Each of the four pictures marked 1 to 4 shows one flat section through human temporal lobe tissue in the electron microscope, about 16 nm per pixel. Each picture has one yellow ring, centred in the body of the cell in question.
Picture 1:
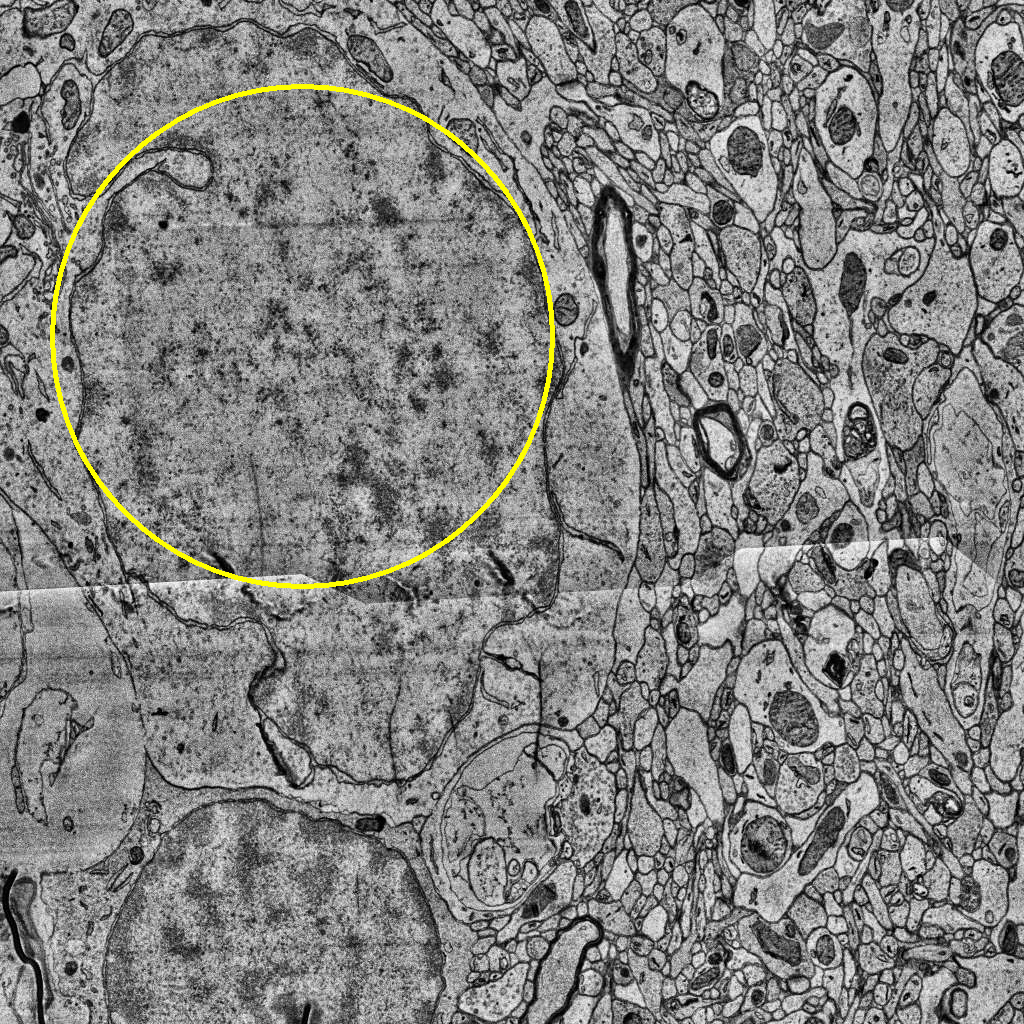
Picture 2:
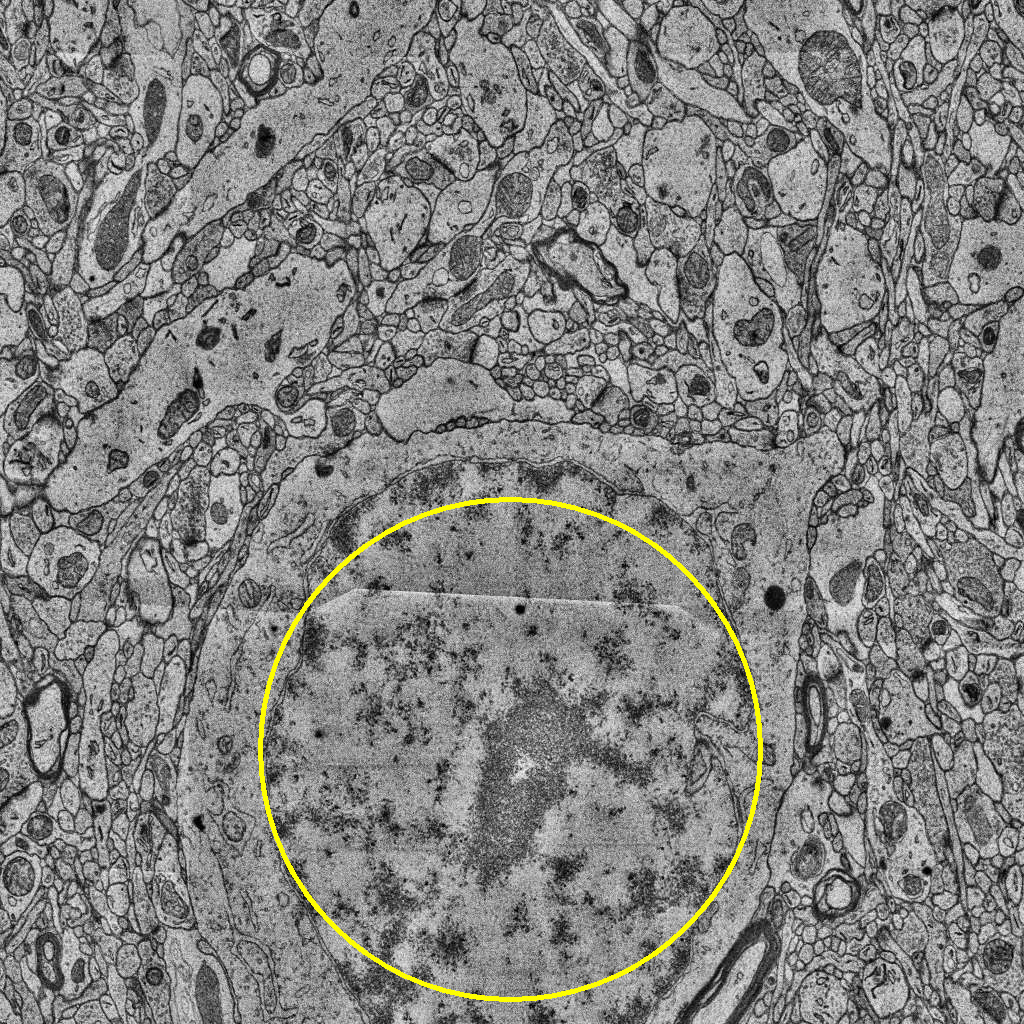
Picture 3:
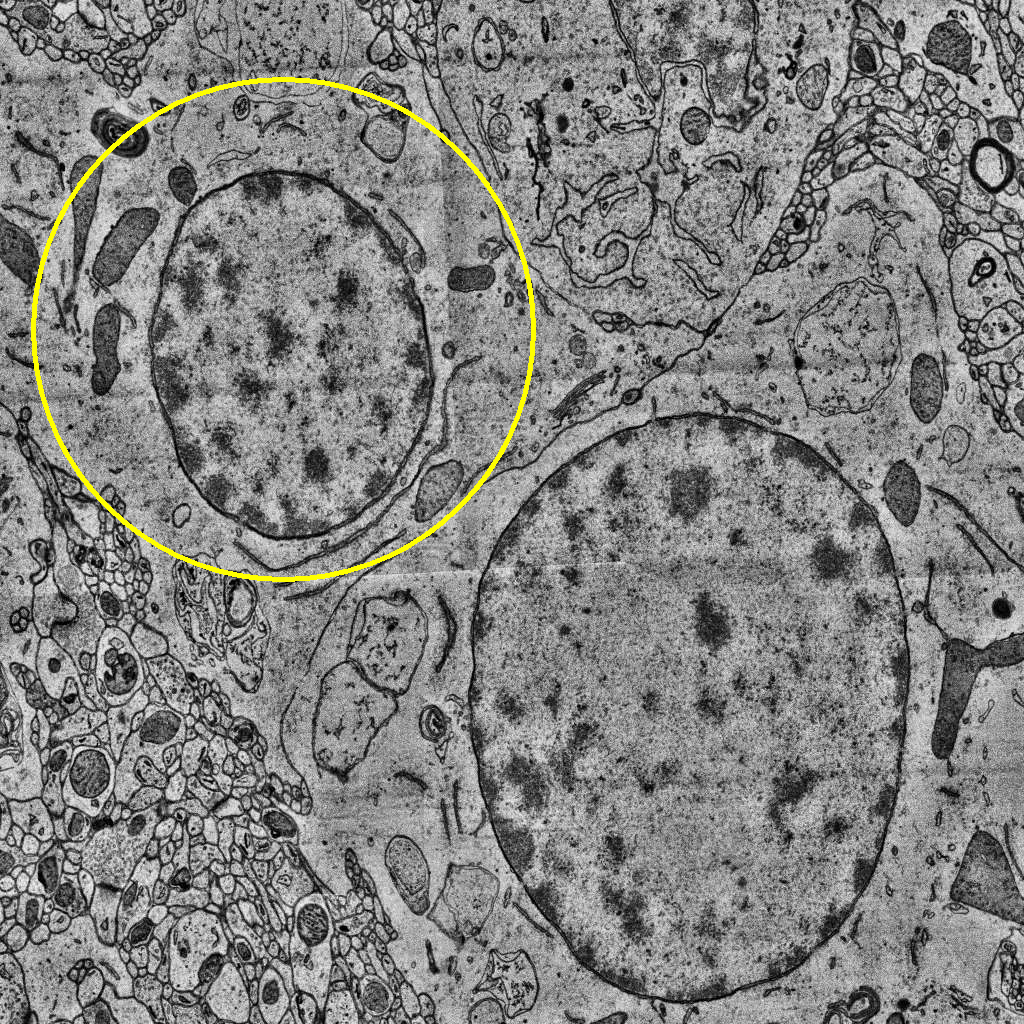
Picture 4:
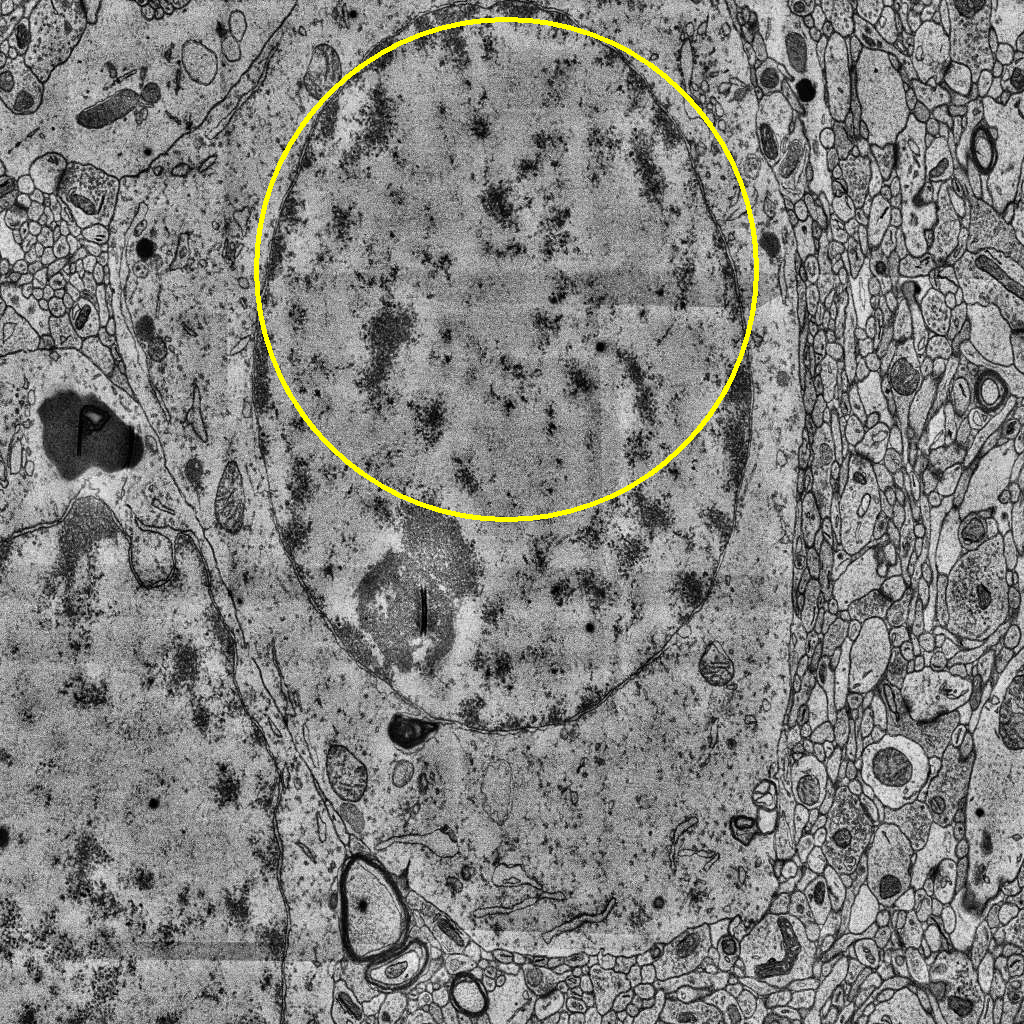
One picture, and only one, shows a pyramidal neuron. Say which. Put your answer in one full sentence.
Picture 4 is the one that shows the pyramidal neuron.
